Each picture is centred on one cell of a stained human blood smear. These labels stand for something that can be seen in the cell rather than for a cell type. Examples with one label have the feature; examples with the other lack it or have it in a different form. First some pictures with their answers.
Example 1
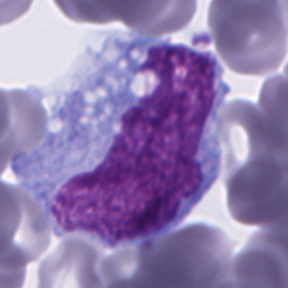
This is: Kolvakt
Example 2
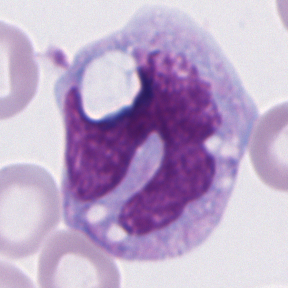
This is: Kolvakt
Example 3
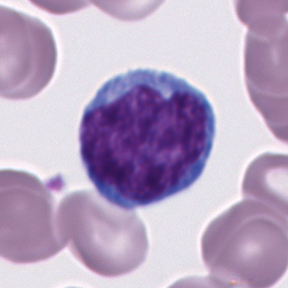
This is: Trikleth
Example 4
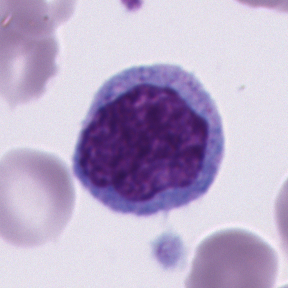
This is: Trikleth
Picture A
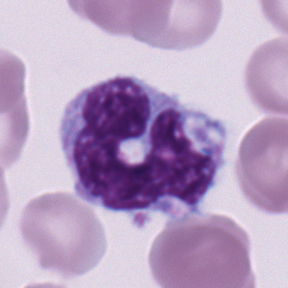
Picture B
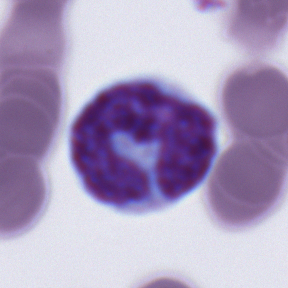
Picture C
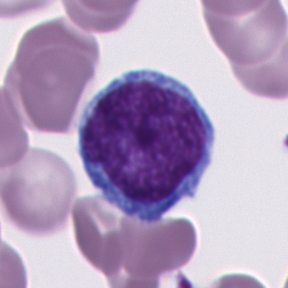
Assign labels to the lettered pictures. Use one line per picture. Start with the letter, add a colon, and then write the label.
A: Kolvakt
B: Kolvakt
C: Trikleth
